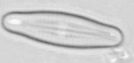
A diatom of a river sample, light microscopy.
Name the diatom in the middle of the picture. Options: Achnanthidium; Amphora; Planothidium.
Achnanthidium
